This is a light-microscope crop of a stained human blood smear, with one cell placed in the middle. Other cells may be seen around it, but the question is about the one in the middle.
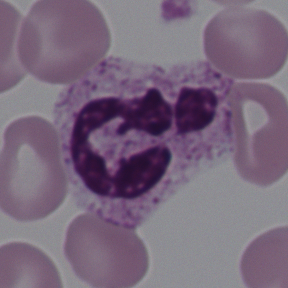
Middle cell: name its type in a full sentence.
Regarding the central cell, it is a segmented neutrophil.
